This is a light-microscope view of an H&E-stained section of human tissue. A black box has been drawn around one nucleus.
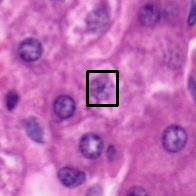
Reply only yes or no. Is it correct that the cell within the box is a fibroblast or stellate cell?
no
